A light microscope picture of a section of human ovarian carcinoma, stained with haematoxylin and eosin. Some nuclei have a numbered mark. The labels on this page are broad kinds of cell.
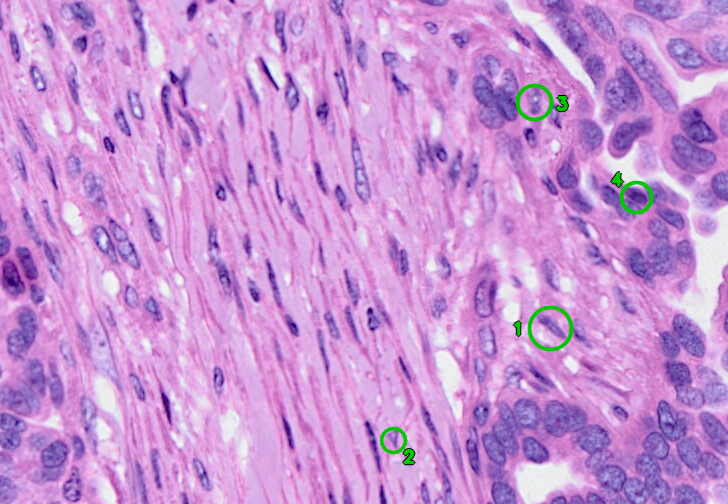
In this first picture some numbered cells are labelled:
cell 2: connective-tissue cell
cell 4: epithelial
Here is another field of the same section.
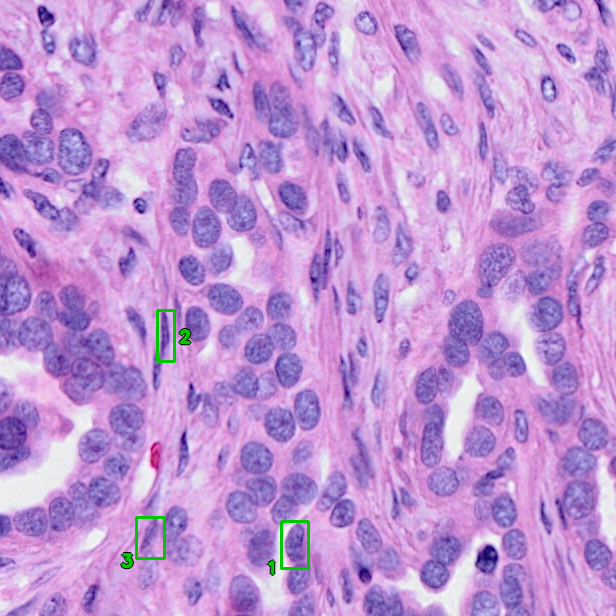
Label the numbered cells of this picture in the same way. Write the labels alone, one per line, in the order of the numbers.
epithelial
connective-tissue cell
connective-tissue cell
